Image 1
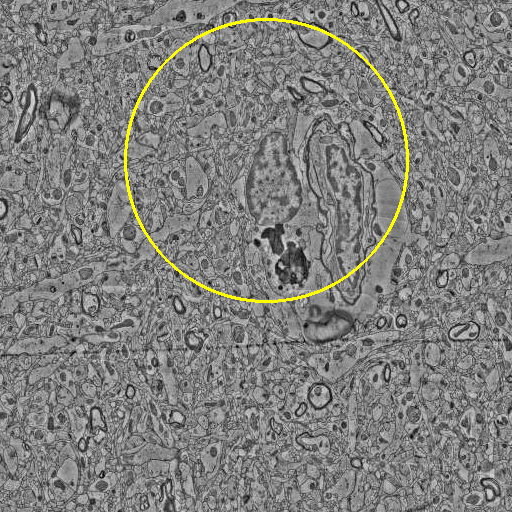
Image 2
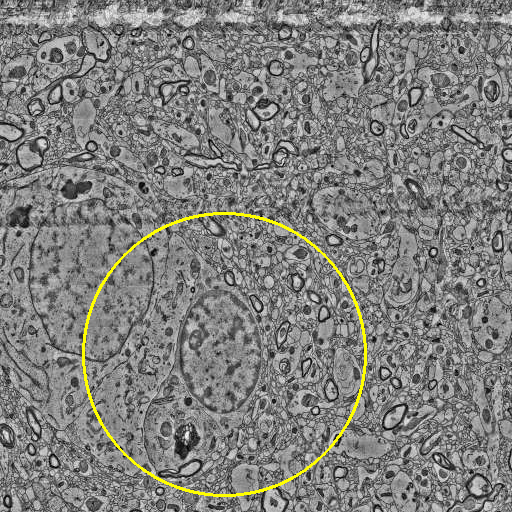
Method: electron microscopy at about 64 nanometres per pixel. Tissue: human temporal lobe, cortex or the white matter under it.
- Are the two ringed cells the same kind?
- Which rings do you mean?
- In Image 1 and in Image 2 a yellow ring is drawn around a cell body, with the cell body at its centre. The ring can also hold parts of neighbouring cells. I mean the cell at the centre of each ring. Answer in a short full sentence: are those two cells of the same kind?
Yes, both cells are of the same kind.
